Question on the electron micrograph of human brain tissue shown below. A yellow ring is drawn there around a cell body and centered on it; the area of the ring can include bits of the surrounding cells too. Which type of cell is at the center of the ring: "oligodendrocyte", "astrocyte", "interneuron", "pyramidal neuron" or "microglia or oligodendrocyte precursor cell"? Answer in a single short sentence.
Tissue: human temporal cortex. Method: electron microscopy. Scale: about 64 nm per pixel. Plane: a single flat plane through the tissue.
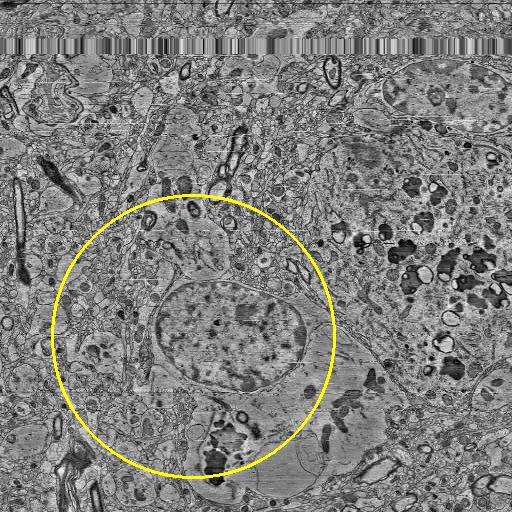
The ring is centered on a microglial cell or oligodendrocyte precursor cell.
